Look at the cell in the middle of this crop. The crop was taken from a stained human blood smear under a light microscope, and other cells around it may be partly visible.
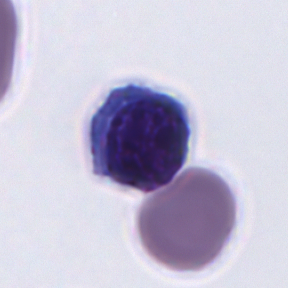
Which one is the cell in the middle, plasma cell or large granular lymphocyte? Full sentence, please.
The crop's centre is taken up by a plasma cell.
